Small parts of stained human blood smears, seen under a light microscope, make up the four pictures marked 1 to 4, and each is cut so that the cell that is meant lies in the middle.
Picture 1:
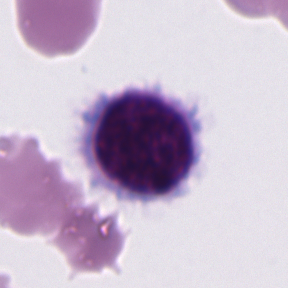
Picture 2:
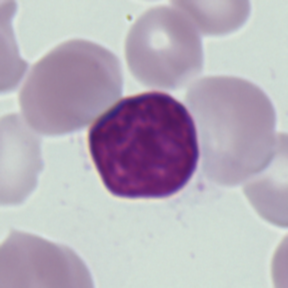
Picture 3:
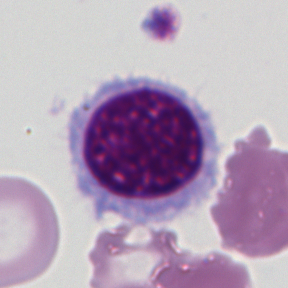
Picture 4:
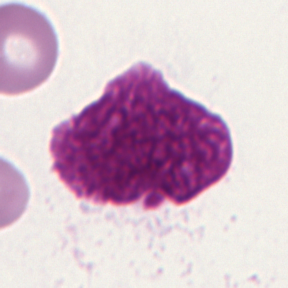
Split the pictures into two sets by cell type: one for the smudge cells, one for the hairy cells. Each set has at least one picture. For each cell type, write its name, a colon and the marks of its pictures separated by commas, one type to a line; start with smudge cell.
smudge cell: 2, 4
hairy cell: 1, 3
